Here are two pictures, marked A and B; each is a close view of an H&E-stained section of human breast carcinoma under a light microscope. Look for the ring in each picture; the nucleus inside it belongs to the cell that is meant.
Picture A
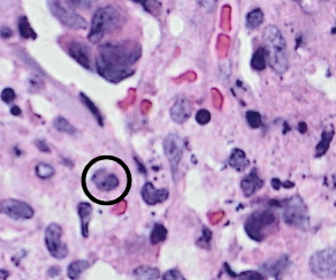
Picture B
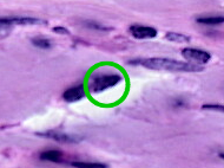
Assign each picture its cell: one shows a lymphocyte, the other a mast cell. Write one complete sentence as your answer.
Picture A shows a mast cell and picture B shows a lymphocyte.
